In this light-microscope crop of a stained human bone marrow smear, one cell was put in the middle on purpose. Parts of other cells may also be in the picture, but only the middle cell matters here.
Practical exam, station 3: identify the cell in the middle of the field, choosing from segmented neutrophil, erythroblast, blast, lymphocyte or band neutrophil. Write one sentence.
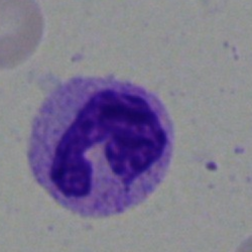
The cell that lies at the centre of the crop is a segmented neutrophil.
